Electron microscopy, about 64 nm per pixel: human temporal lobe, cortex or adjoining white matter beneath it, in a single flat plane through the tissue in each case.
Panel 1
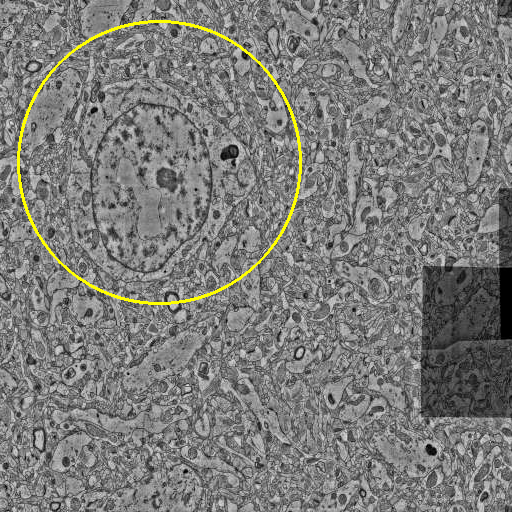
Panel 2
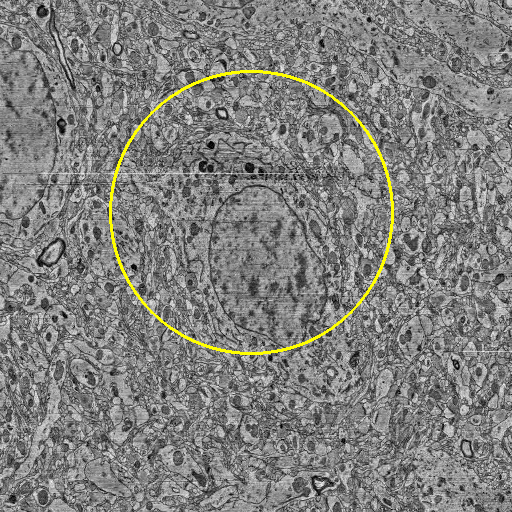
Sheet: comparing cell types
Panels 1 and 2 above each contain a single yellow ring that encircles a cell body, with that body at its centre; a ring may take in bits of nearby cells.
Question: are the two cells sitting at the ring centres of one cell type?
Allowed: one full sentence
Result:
Yes, the ring-centre cells in Panel 1 and Panel 2 are of one type.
